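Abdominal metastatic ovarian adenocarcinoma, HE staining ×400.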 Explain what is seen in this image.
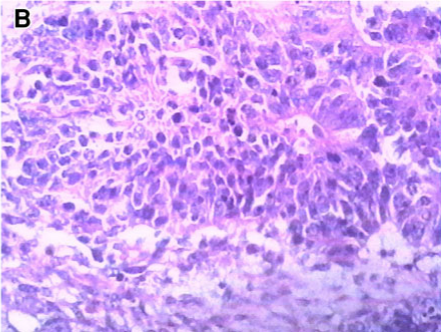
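A tumor of small, crowded cells grows in solid sheets and nests, with hardly any gland formation. The nuclei are dark purple, oval to elongated, and vary in size and shape. Many are hyperchromatic and lie close together with little cytoplasm between them. The scant cytoplasm is pink. Across the upper part the cells pack densely in sheets. Along the lower edge, paler, loosely textured tissue with clear spaces borders the nests. No regular glandular lumen lined by orderly columnar cells can be made out.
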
